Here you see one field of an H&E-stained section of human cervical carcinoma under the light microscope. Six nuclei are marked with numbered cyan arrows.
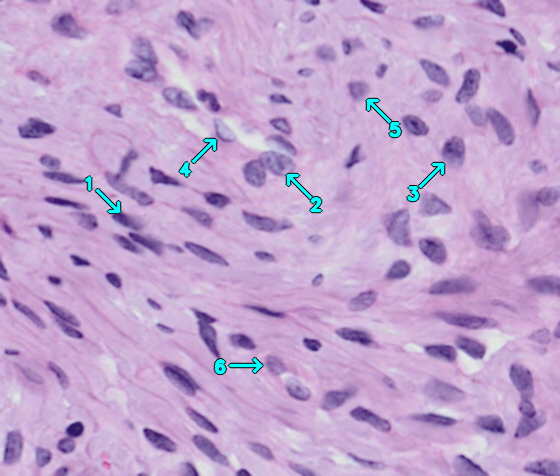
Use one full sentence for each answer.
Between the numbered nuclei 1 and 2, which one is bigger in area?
The larger nucleus is 2, at roughly 2 times the area of 1.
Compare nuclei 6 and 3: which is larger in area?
Nucleus 3 is larger, with an area about 2 times that of nucleus 6.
